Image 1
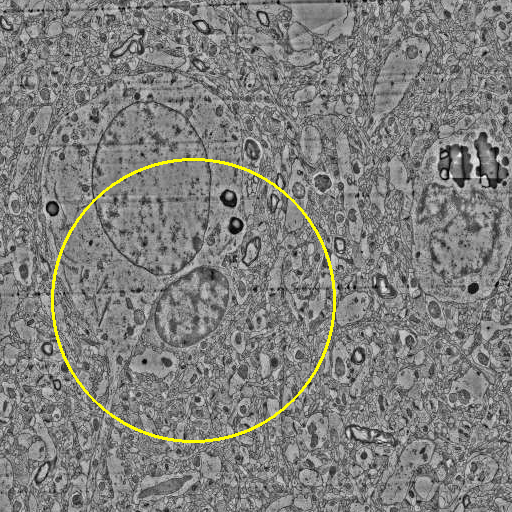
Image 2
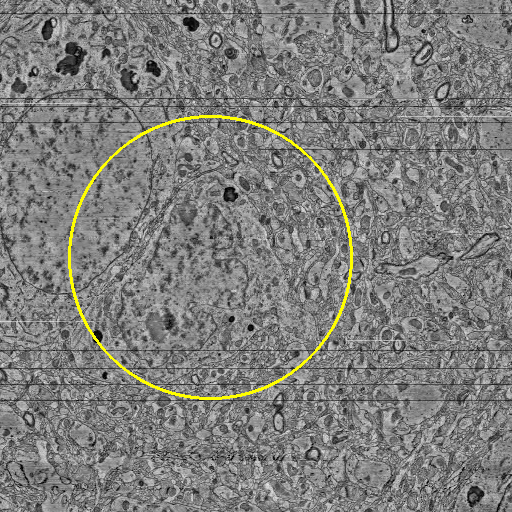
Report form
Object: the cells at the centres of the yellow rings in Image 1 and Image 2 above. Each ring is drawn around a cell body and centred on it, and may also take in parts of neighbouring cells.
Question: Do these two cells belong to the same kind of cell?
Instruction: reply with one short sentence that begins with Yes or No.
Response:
No, they belong to two kinds of cell.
